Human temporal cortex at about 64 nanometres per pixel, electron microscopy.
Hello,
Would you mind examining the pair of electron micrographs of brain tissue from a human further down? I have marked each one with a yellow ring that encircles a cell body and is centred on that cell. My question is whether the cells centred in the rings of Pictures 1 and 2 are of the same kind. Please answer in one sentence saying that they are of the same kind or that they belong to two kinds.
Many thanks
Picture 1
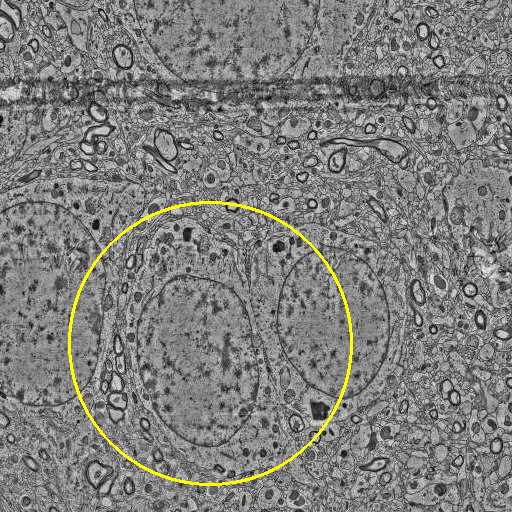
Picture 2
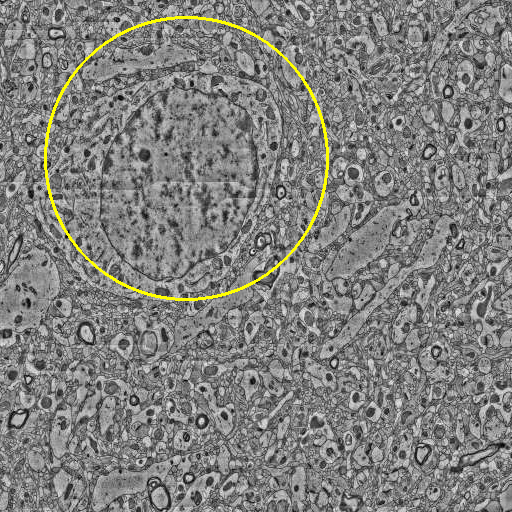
In Pictures 1 and 2, the cells at the heart of the rings are of the same kind.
